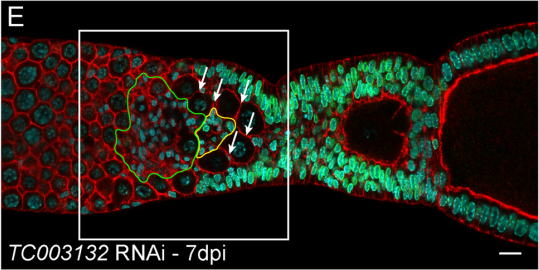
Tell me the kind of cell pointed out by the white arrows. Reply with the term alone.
Young oocytes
